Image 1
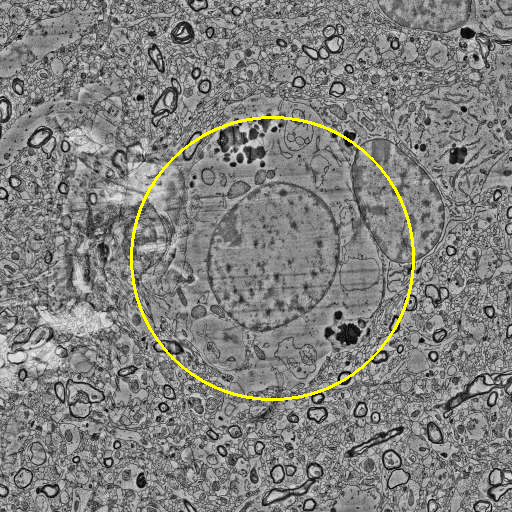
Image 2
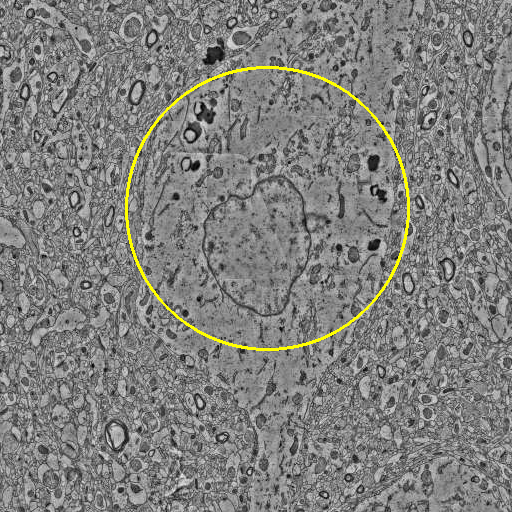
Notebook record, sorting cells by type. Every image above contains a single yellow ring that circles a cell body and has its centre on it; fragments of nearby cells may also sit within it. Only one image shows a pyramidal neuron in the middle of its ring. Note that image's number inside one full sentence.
For image 2, the cell in the middle of its yellow ring is the match.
